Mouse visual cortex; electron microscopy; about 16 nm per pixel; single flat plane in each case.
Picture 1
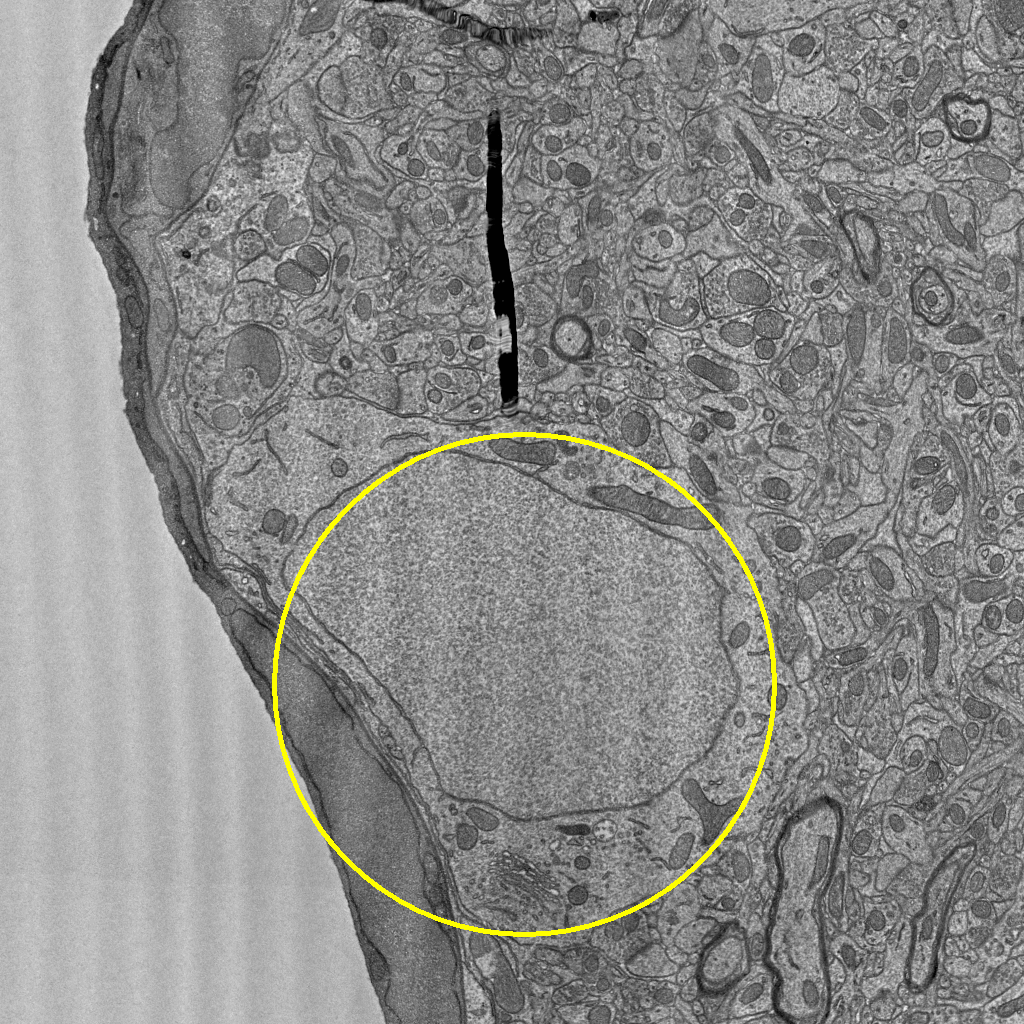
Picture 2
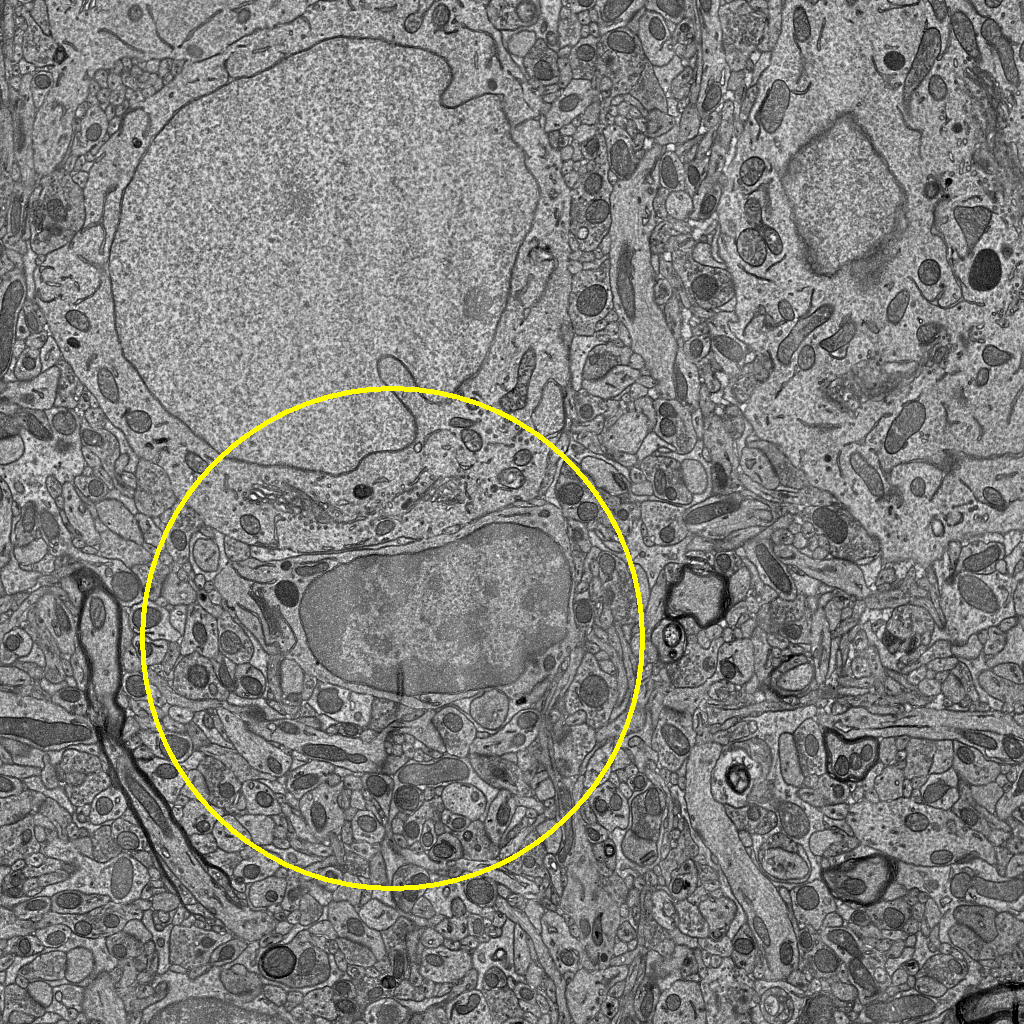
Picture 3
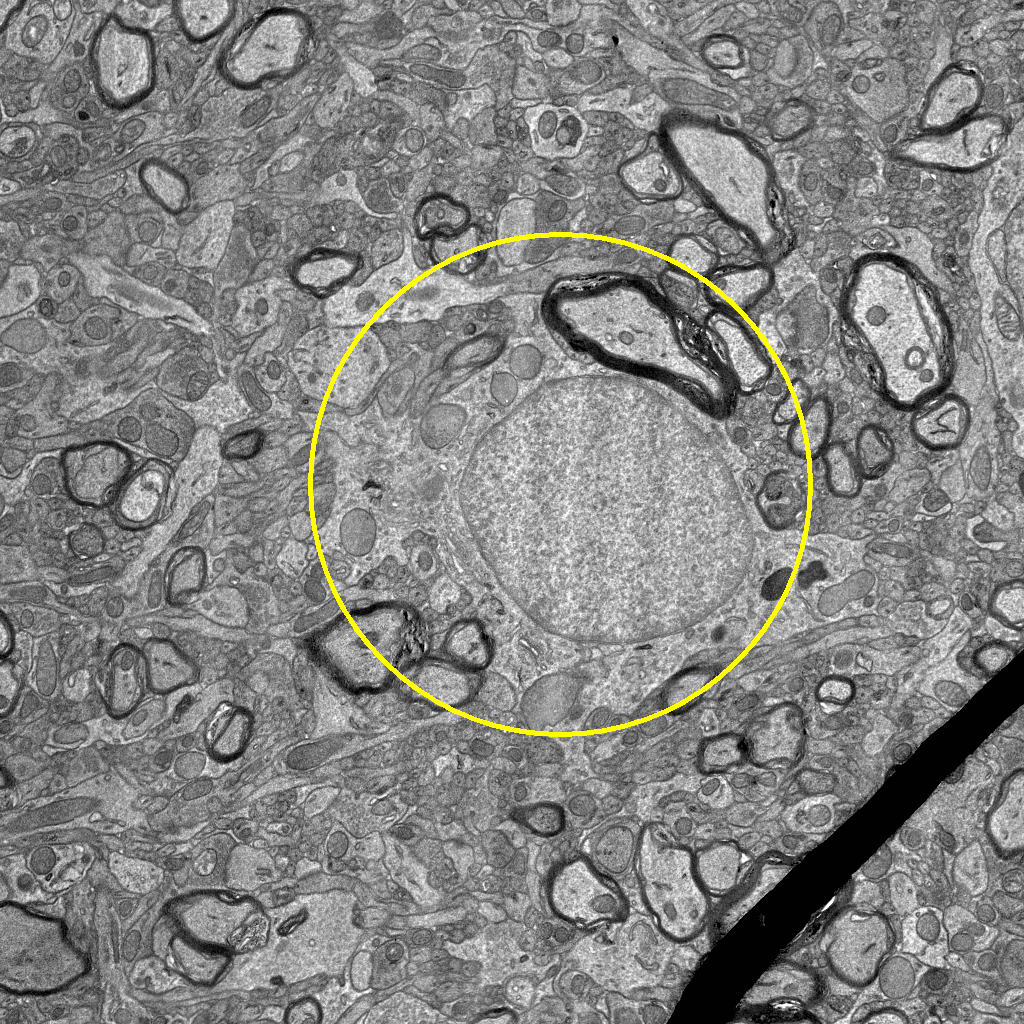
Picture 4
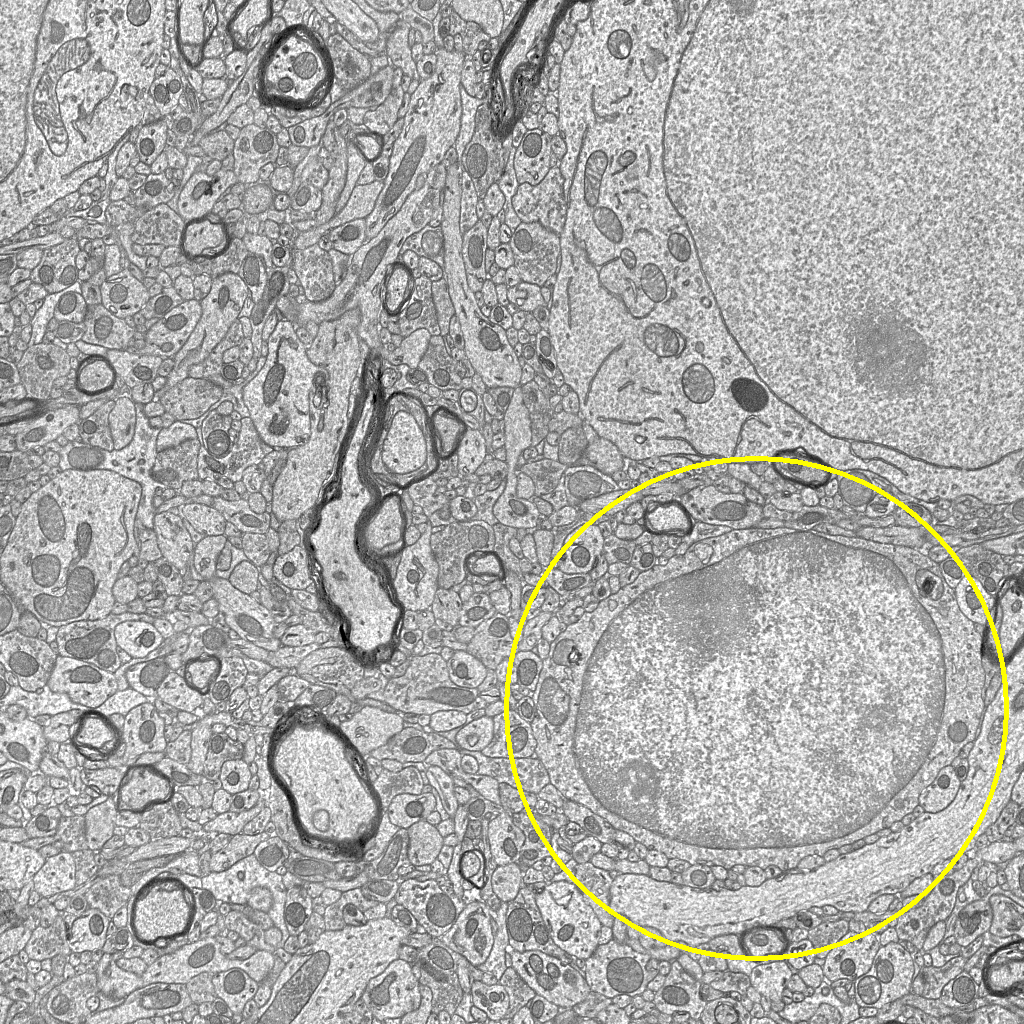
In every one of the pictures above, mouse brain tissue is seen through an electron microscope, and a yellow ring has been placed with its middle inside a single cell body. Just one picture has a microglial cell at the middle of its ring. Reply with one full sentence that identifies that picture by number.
It is picture 2 that shows the wanted cell at its ring's centre.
